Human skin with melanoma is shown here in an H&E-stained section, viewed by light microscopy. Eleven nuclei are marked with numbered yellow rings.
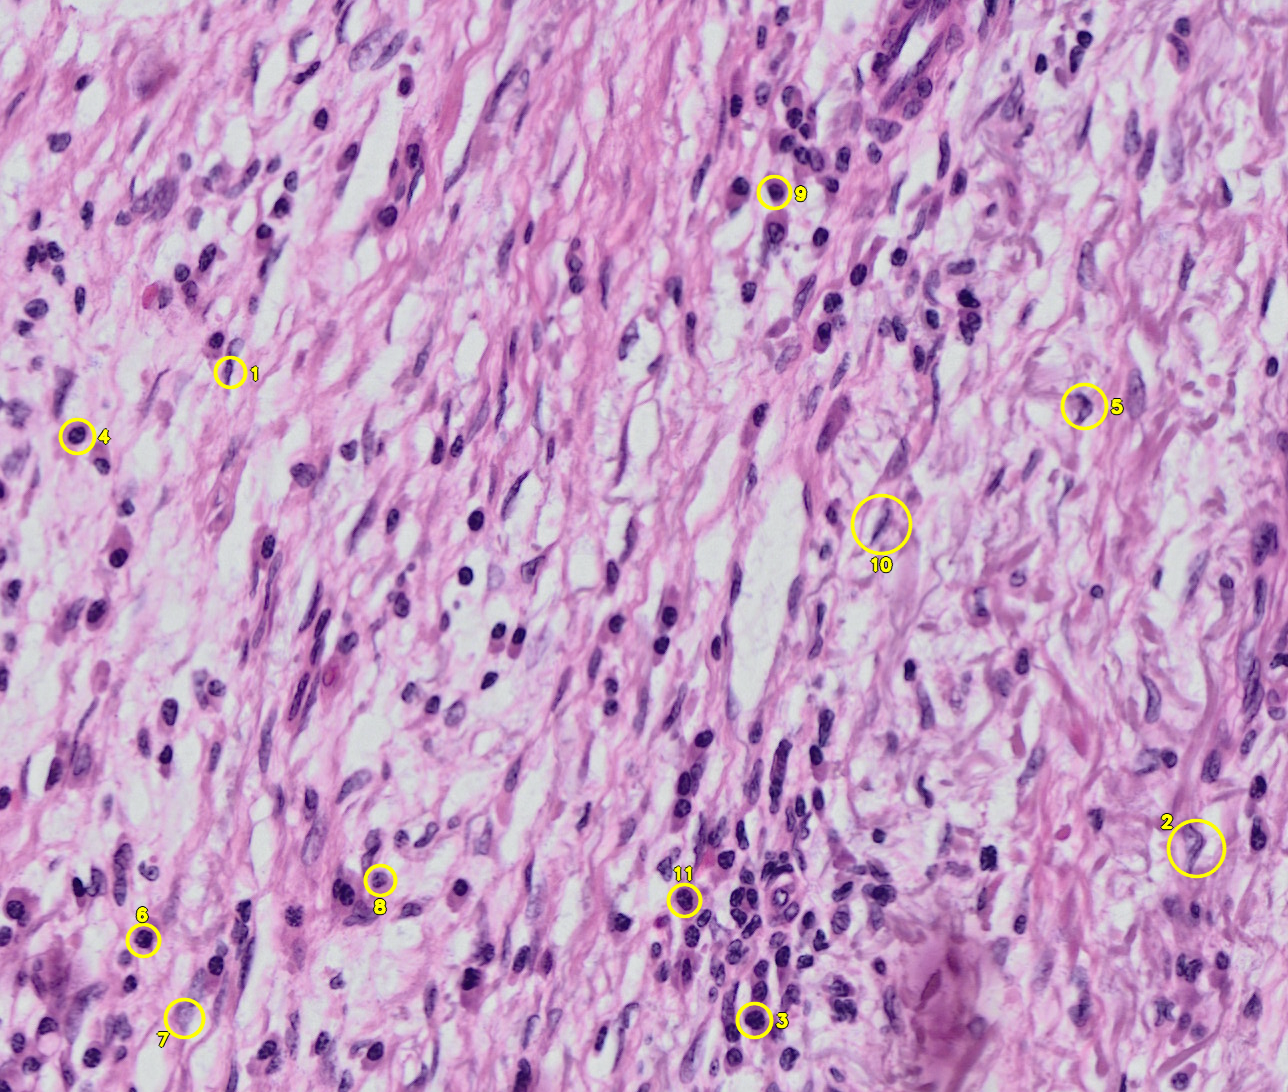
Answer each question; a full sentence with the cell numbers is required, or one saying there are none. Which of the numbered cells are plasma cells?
Cells 3, 4, 6, 8, 9 and 11 are plasma cells by cell type.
